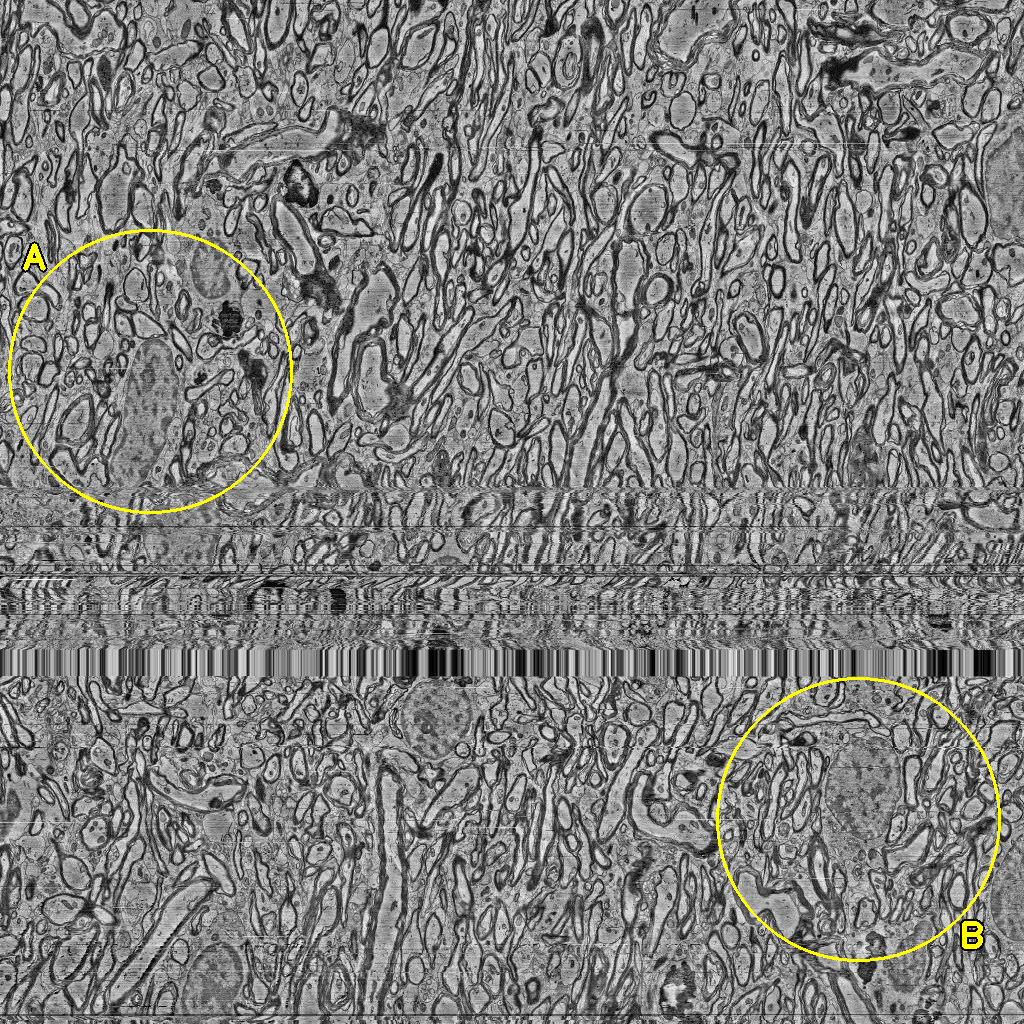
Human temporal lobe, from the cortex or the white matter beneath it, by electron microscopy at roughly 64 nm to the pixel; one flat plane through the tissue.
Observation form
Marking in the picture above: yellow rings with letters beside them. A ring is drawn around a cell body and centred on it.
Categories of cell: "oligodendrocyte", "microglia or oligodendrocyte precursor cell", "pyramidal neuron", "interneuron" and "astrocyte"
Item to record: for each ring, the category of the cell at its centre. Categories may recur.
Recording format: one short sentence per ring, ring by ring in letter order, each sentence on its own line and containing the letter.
Ring A is placed on a microglial cell or oligodendrocyte precursor cell.
Ring B is placed on an oligodendrocyte.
